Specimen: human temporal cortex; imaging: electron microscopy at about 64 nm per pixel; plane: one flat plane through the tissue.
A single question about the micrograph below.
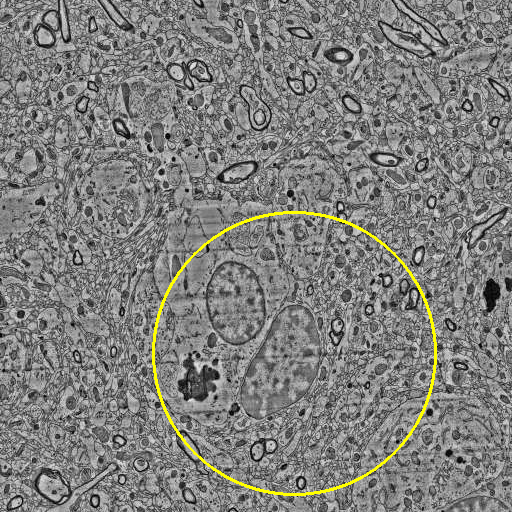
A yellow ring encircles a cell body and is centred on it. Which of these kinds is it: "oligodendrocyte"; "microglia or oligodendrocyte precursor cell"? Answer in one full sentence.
The cell body at the centre of the yellow ring belongs to a microglial cell or oligodendrocyte precursor cell.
